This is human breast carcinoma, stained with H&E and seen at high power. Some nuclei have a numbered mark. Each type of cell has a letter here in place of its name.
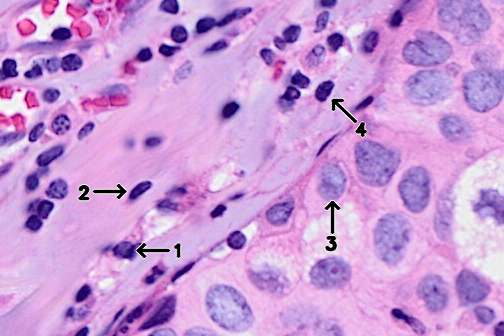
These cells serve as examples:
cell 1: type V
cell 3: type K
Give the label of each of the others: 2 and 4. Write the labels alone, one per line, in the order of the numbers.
type V
type V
